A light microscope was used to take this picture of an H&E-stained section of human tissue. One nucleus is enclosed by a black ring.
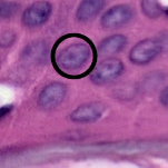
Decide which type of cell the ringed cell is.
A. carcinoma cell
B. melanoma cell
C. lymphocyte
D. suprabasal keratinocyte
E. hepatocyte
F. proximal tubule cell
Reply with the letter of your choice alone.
D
